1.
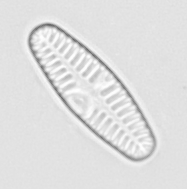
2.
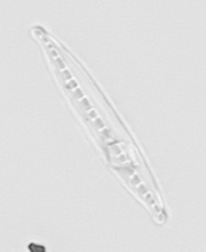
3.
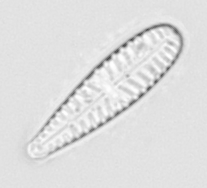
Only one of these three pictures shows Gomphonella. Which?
Picture 3.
